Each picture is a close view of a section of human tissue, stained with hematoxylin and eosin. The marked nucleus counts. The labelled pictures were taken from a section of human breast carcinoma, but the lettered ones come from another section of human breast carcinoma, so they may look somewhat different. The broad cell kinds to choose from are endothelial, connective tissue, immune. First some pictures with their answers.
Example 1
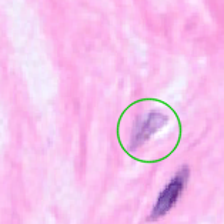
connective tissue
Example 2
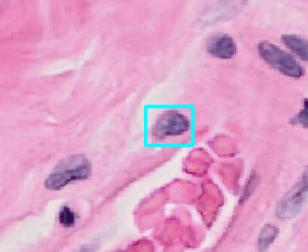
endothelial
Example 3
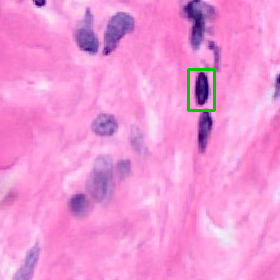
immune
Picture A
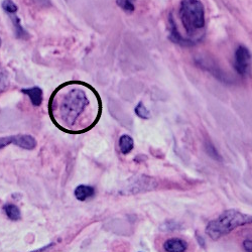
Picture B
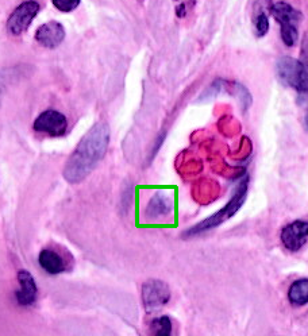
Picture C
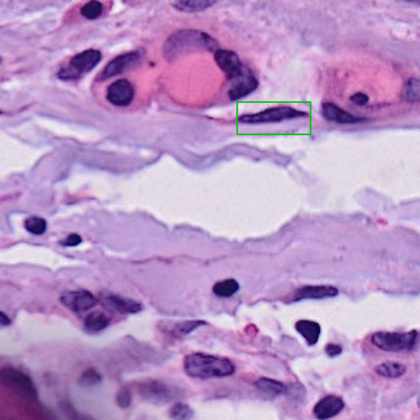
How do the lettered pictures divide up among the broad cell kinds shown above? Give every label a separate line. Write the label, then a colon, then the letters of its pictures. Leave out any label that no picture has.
endothelial: B
connective tissue: C
immune: A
